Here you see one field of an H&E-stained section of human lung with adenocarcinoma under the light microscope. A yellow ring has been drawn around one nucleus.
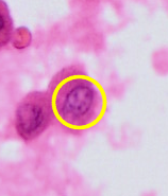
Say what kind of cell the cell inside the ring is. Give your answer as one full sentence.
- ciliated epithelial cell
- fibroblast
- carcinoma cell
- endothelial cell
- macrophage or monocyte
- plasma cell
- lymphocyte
To be brief about it, the cell inside the ring is a macrophage or monocyte.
